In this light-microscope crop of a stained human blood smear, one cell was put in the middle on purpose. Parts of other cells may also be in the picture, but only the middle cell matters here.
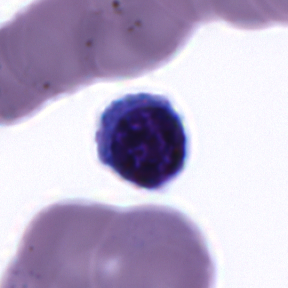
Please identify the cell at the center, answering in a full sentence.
The central element of this crop is a cell, namely a plasma cell.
